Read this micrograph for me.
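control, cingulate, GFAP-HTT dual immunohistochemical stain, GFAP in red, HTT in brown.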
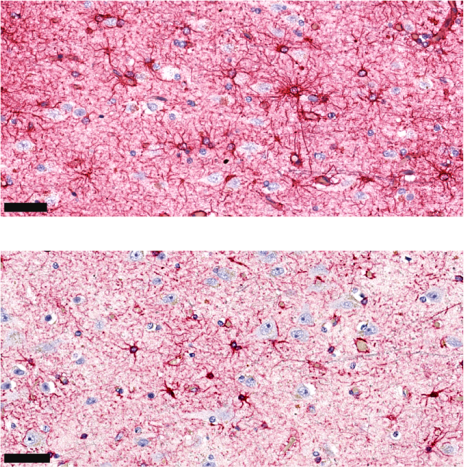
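Two fields of cerebral cortex show star-shaped astrocytes stained red, each with a small dark body and many fine branching processes that spread into a pinkish, finely fibrillar neuropil. Scattered between them lie larger neurons with pale blue-grey cytoplasm and round pale nuclei, together with small blue glial nuclei. In the upper field the red astrocytes are more numerous and their processes are thicker and more densely branched than in the lower field.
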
